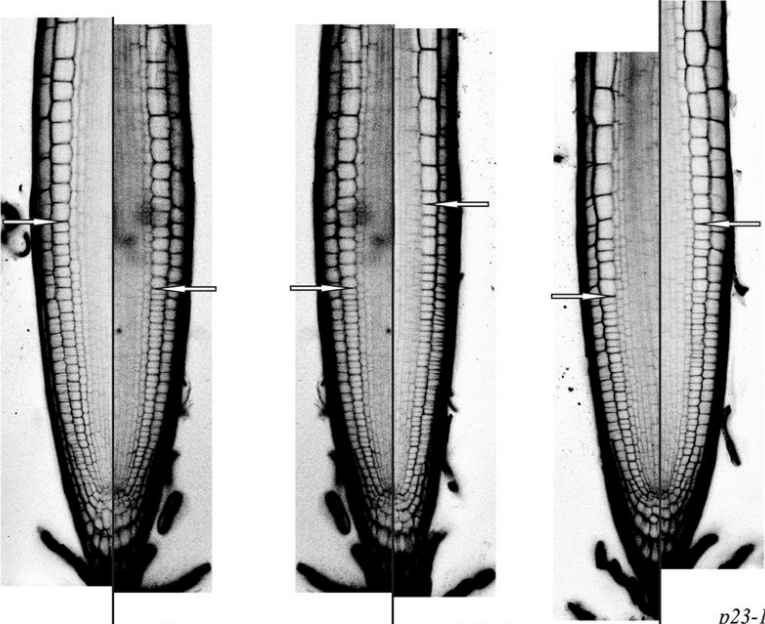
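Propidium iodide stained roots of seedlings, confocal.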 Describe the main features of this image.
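Near the rounded tip the cells are small and cube-shaped, set in neat longitudinal files, and the tip is capped by a layer of cells, some of which have come loose at the sides. Further up, the cells in the outer files grow longer and more rectangular, marking where cell division gives way to elongation.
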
